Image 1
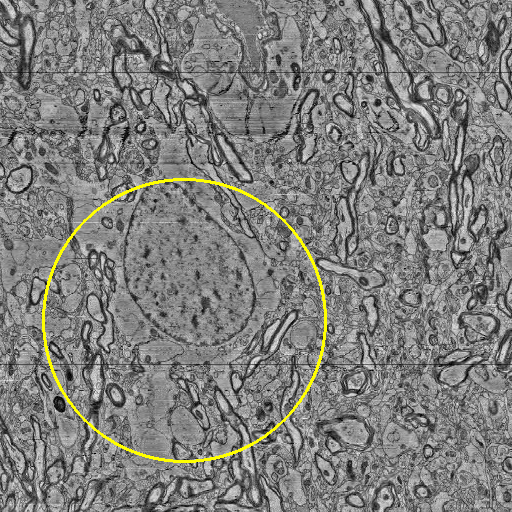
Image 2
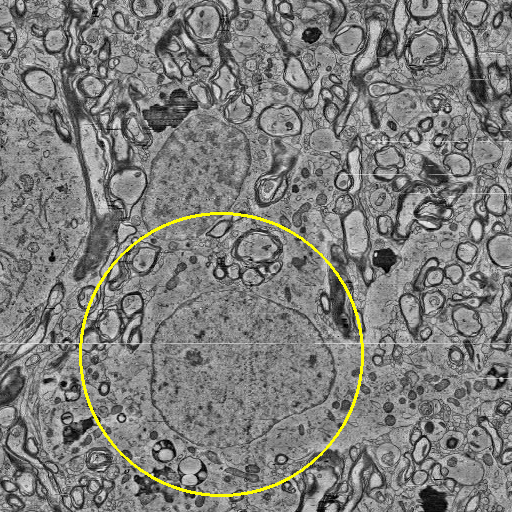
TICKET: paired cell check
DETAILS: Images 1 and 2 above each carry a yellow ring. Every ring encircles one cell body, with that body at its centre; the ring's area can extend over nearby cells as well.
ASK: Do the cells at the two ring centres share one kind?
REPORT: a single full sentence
Yes, the ring-centre cells of Images 1 and 2 belong to a single kind.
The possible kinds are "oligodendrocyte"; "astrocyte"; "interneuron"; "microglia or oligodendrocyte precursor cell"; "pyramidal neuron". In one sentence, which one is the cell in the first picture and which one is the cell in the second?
In the first picture and in the second, the ring is centred on an astrocyte.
